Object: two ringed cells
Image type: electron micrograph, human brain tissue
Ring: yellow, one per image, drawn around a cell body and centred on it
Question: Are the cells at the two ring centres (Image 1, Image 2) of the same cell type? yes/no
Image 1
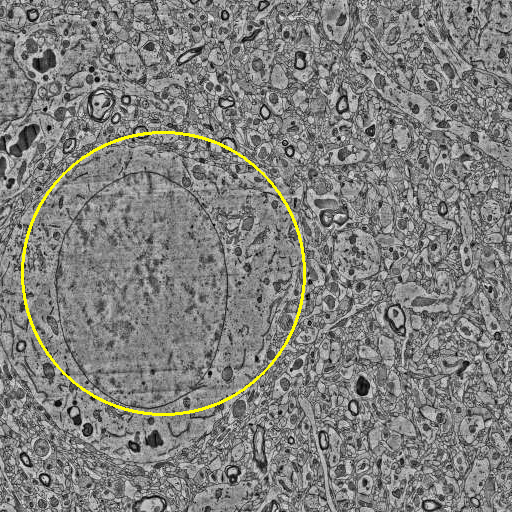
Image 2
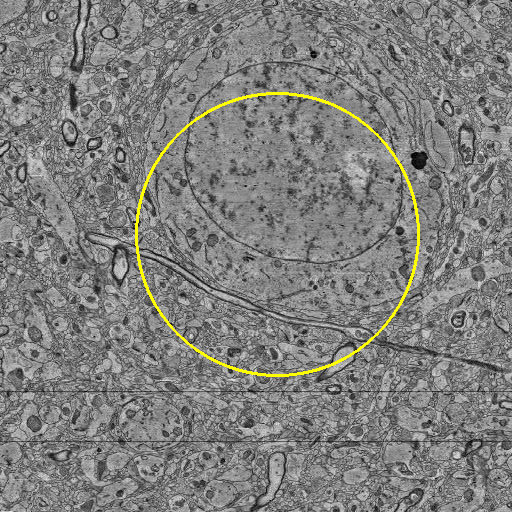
yes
